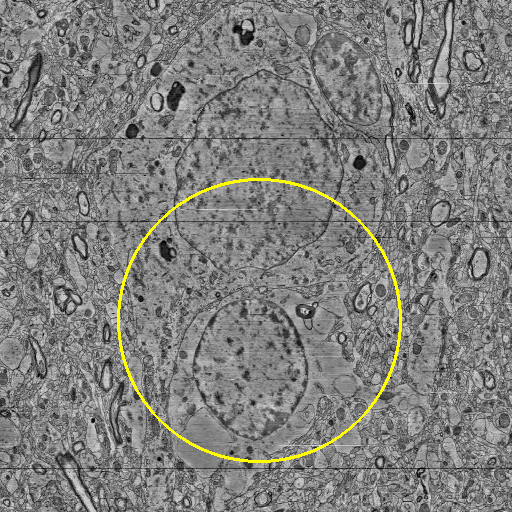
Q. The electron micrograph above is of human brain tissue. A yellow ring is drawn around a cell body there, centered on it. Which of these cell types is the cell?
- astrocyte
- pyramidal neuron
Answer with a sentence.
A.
The cell under the ring's center is an astrocyte.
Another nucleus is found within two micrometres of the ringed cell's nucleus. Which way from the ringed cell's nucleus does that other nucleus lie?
The other nucleus is situated above it.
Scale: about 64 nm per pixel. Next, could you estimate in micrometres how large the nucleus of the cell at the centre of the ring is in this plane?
In this plane, roughly 9 by 7 micrometres.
